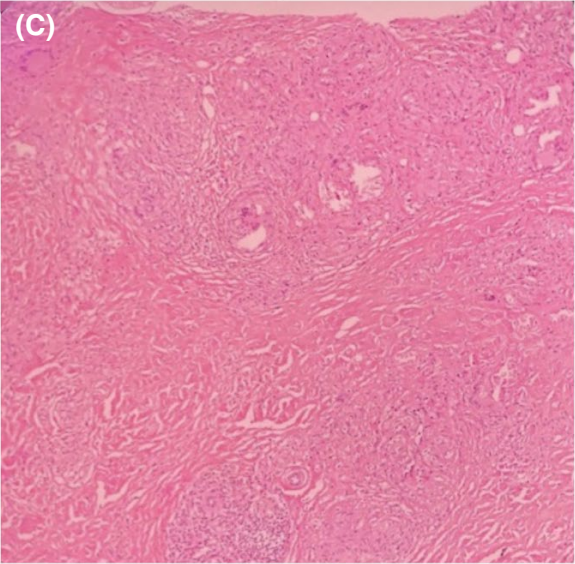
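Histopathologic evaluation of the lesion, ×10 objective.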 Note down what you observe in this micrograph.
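The dermis holds several rounded, fairly sharply bordered nodules of pale pink cells with oval nuclei, scattered among pink collagen bundles. The nodules have only a thin or absent rim of small dark lymphocytes. Within and beside some nodules are small clear spaces and clefts, and a few darker purple-pink bodies lie in them. These compact nodules of epithelioid cells with scant surrounding inflammation are granulomas of the bare, sarcoid kind.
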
